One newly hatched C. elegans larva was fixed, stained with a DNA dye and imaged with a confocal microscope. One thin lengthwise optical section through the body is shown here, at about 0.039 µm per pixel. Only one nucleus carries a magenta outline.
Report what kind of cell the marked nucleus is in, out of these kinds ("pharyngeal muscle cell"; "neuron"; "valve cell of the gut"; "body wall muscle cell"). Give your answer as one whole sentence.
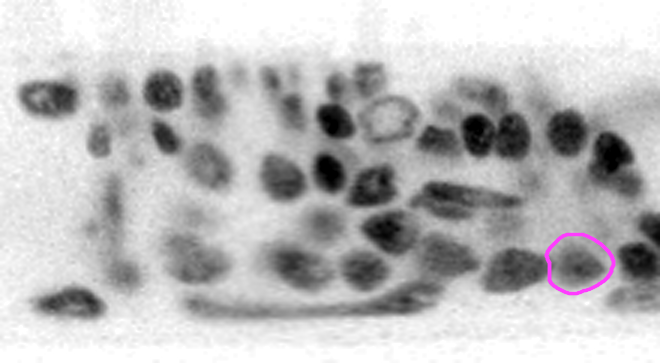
The nucleus comes from a neuron.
